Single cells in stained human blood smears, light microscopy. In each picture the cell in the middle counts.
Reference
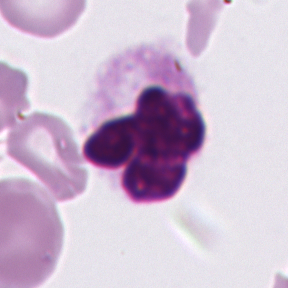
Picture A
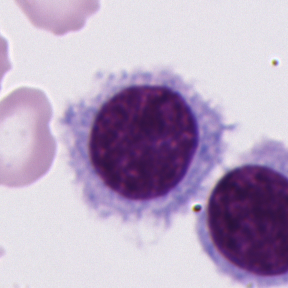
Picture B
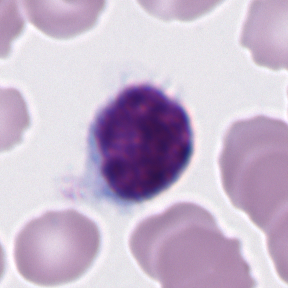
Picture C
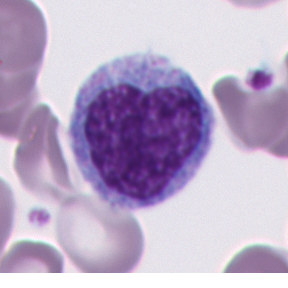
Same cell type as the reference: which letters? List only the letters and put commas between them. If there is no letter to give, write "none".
none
